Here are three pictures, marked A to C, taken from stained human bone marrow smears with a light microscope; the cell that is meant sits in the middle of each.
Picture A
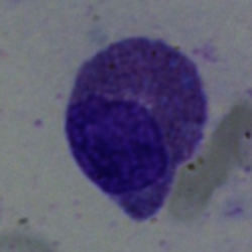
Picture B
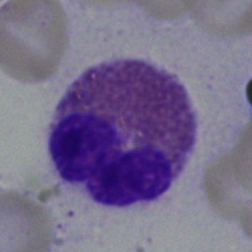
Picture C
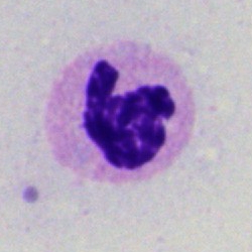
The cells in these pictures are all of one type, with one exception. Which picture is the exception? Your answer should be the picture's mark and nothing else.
C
